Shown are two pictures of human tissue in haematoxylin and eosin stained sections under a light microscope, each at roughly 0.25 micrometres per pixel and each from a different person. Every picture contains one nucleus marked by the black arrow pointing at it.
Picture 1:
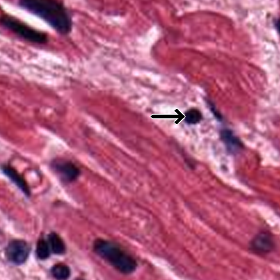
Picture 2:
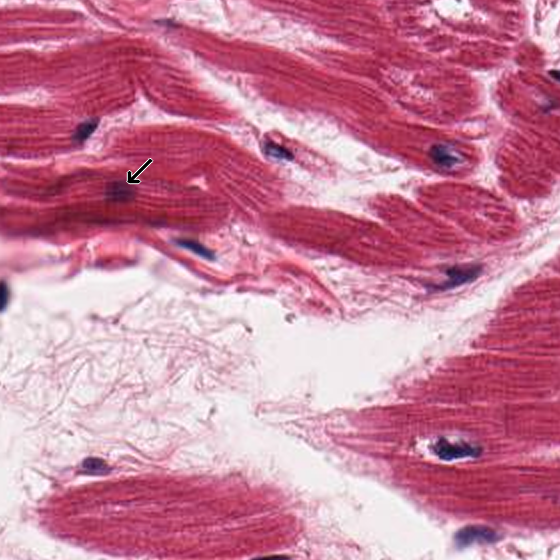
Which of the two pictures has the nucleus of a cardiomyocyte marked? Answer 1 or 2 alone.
2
